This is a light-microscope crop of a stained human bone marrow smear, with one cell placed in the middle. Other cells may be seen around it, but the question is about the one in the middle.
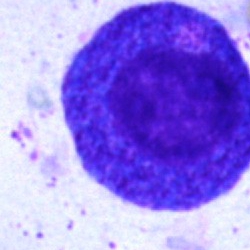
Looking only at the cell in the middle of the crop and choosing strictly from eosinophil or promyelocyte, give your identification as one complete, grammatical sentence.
At the middle of the frame sits a promyelocyte.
